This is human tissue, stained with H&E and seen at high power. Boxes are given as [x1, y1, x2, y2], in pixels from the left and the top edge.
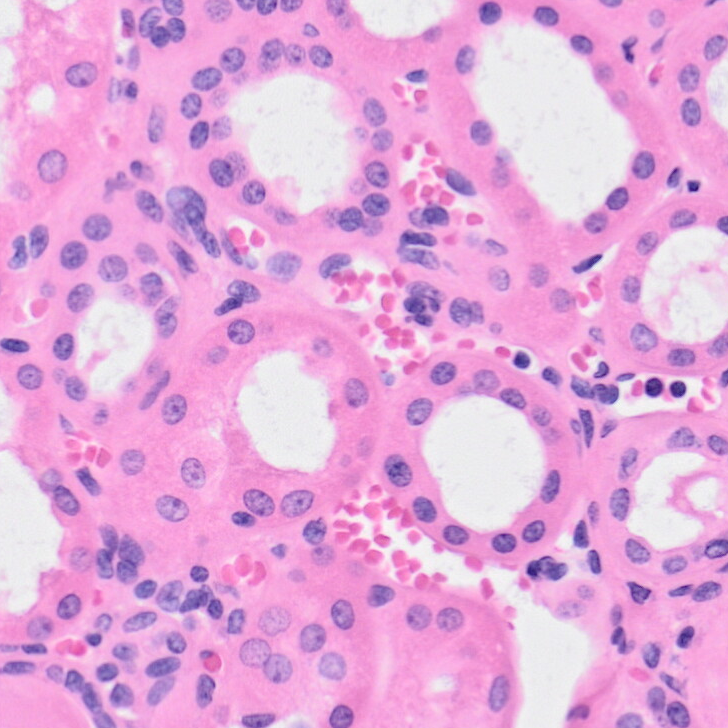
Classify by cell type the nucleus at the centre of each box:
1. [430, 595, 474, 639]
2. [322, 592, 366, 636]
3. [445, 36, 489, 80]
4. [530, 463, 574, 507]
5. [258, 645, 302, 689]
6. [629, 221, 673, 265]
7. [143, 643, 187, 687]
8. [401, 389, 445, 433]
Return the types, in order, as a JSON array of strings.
["proximal tubule cell", "proximal tubule cell", "loop of Henle or distal tubule cell", "loop of Henle or distal tubule cell", "proximal tubule cell", "loop of Henle or distal tubule cell", "collecting duct cell", "loop of Henle or distal tubule cell"]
